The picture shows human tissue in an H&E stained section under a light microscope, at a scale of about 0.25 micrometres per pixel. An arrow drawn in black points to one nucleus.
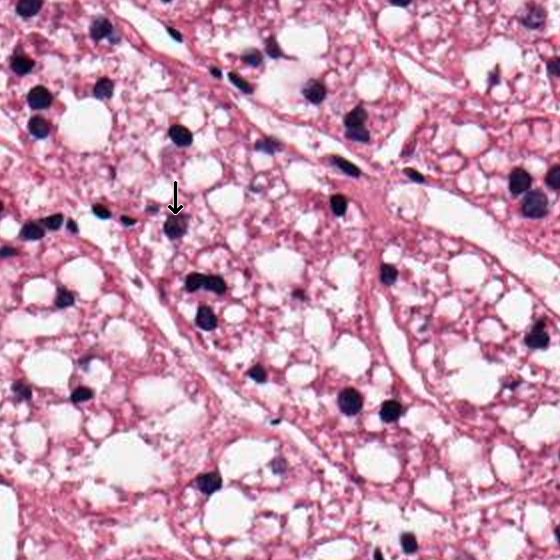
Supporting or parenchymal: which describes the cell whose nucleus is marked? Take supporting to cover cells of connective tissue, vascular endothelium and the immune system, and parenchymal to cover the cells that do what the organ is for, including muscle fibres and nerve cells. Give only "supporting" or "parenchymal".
parenchymal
